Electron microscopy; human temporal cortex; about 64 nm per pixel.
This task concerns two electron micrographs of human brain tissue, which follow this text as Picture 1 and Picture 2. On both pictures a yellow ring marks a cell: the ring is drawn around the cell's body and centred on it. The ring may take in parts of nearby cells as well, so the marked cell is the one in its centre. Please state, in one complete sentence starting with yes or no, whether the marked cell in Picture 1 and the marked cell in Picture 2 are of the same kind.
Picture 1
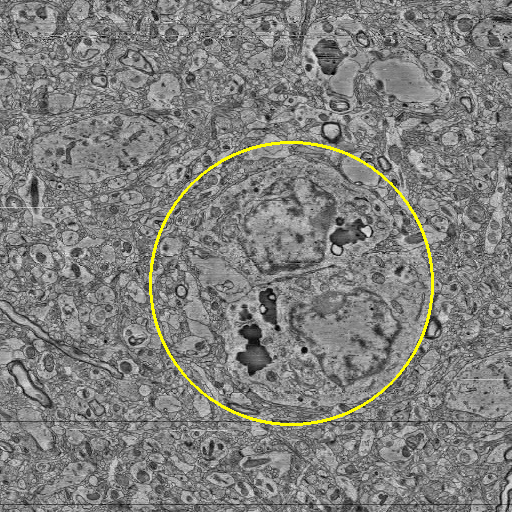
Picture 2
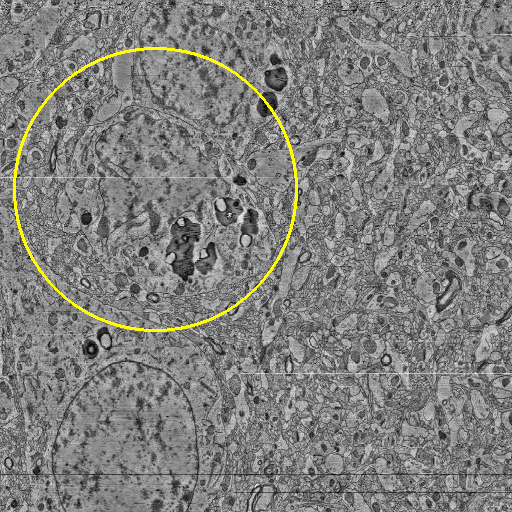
Yes, the marked cells in both pictures are of the same kind.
